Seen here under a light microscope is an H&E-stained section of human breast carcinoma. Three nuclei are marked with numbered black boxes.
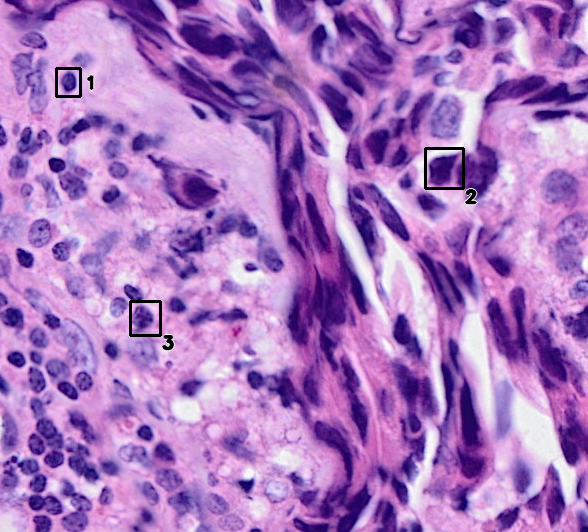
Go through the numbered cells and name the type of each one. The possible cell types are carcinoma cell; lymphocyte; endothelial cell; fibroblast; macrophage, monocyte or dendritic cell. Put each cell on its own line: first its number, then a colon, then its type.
1: lymphocyte
2: carcinoma cell
3: lymphocyte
